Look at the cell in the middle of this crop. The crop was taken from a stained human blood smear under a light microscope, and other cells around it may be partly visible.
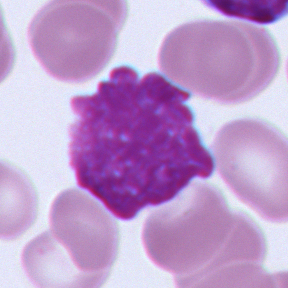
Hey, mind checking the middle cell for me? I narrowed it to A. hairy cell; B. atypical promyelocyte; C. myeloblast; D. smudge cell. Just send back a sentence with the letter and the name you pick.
Since the middle cell is a smudge cell, option D is the right one.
